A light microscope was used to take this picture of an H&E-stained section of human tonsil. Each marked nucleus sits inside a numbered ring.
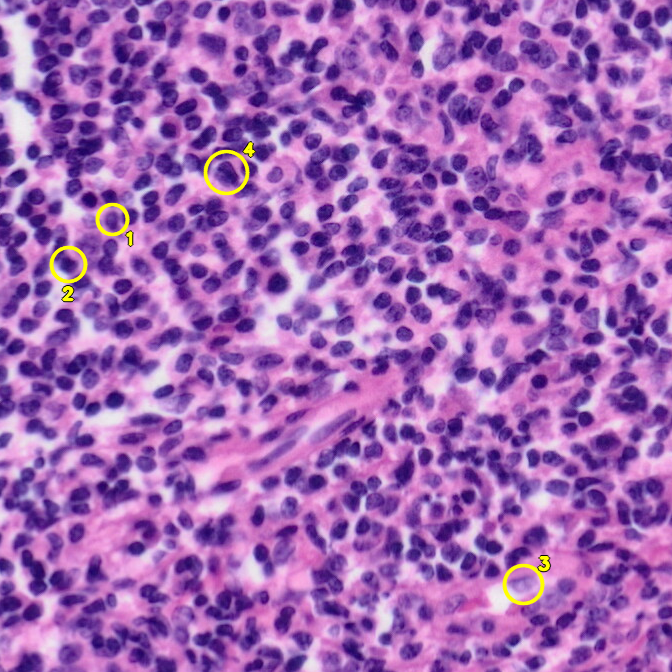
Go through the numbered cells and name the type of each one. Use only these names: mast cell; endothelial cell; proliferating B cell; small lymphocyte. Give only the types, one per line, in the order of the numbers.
small lymphocyte
small lymphocyte
endothelial cell
small lymphocyte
